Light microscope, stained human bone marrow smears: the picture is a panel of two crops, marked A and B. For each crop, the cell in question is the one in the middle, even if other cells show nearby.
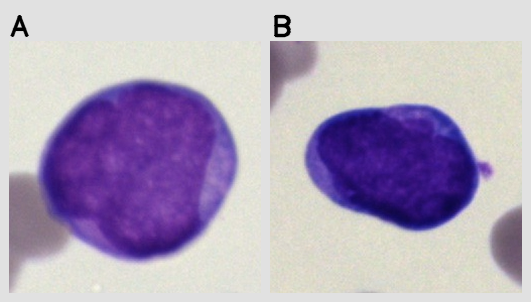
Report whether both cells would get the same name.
yes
